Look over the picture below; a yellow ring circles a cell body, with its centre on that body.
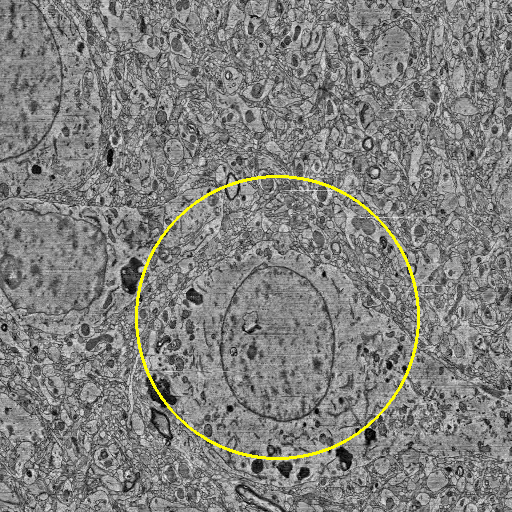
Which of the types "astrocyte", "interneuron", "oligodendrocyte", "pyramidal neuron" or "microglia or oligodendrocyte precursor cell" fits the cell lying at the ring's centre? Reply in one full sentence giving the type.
The picture shows a pyramidal neuron at the centre of the yellow ring.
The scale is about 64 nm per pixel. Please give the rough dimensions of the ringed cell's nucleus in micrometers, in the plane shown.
The nucleus has a long axis of about 10 micrometres and a short axis of about 7 micrometres in this plane.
